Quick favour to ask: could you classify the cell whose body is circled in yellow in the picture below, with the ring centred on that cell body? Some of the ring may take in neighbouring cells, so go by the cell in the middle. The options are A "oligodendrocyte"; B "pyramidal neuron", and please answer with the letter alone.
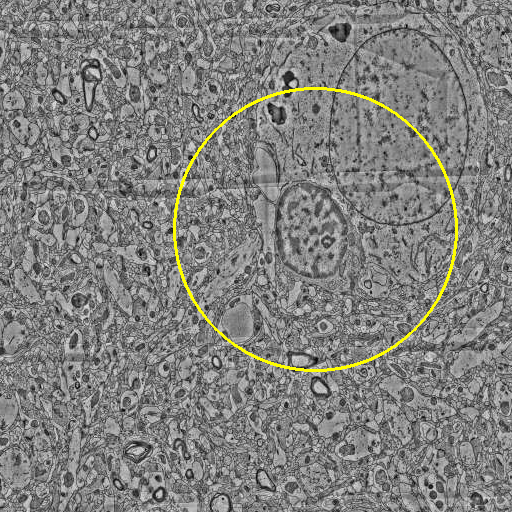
A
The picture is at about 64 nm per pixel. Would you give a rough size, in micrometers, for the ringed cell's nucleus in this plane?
The nucleus is approximately 6 micrometers long by 5 micrometers wide in this plane.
